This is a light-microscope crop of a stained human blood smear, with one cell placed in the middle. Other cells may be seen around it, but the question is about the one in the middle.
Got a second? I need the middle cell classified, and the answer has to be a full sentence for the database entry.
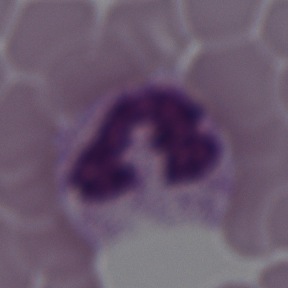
The cell under consideration, at the middle of the crop, is a segmented neutrophil.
